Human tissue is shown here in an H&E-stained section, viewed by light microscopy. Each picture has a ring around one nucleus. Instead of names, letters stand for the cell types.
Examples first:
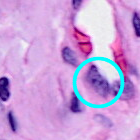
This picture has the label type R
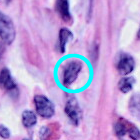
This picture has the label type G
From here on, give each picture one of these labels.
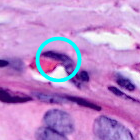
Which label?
type R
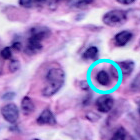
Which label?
type G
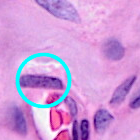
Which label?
type R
